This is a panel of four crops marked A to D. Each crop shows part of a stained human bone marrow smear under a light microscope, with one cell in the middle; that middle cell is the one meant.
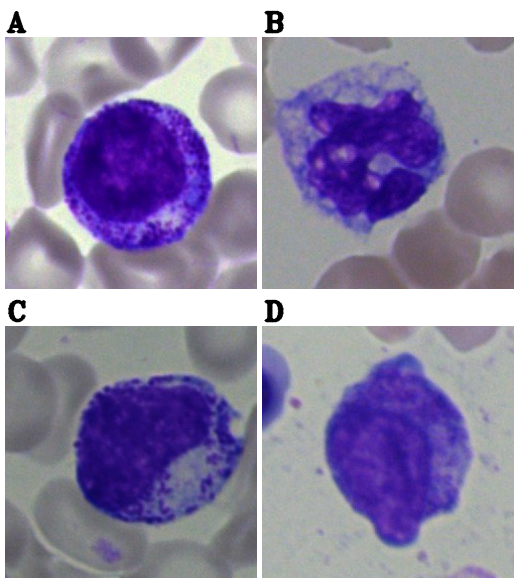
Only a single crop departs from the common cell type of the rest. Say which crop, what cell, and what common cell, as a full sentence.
As the exception to the myelocytes in the other crops, crop B shows a monocyte.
